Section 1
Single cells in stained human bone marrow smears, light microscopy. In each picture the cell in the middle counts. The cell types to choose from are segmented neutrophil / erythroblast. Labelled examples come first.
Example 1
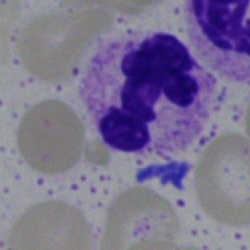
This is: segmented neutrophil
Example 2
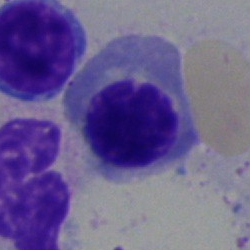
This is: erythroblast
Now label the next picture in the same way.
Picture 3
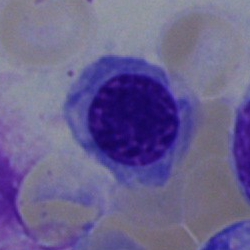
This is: erythroblast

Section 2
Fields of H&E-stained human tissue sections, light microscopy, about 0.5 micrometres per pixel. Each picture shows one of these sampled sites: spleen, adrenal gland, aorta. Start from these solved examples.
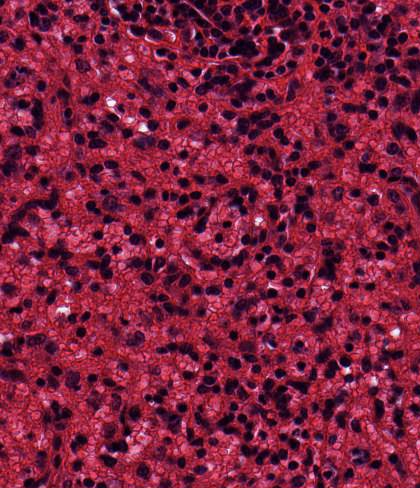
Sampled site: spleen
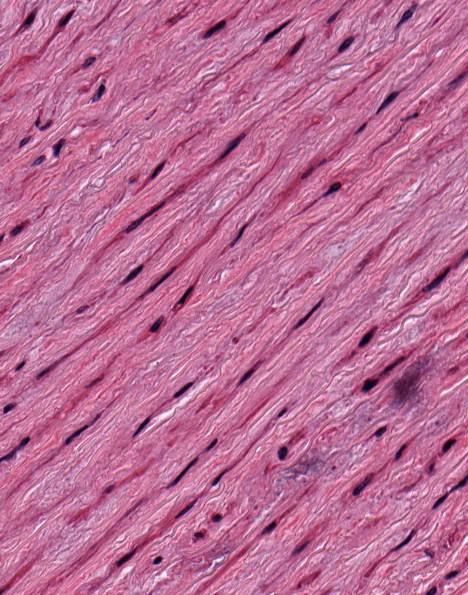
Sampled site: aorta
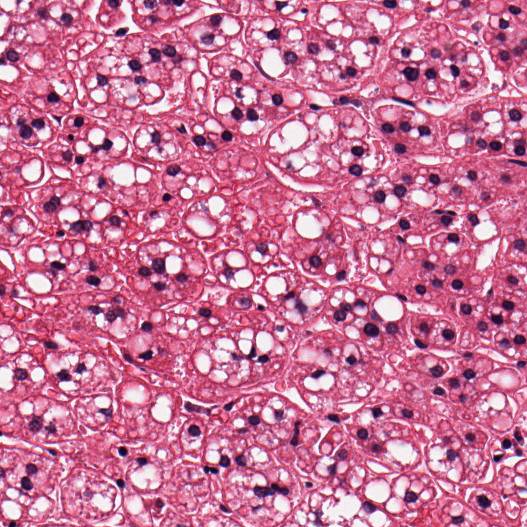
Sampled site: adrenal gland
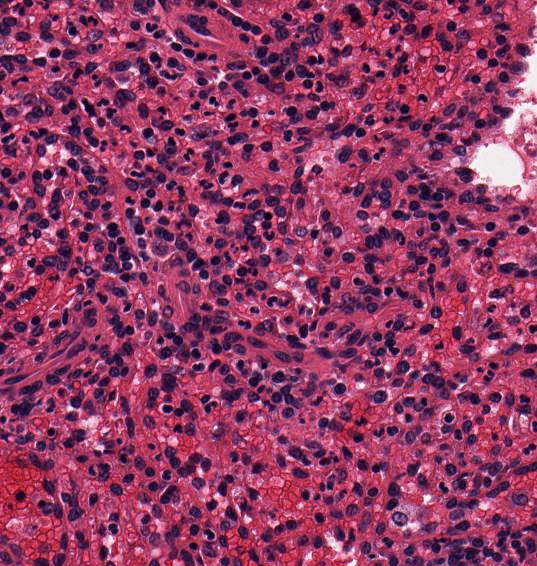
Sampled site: spleen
